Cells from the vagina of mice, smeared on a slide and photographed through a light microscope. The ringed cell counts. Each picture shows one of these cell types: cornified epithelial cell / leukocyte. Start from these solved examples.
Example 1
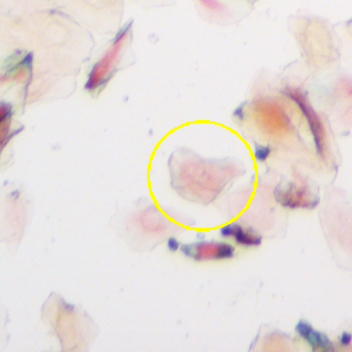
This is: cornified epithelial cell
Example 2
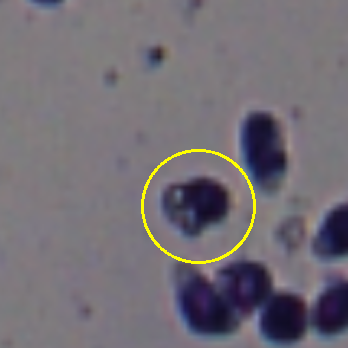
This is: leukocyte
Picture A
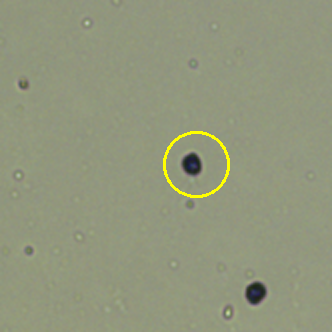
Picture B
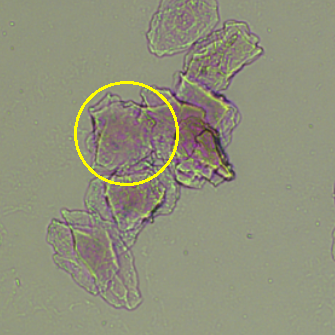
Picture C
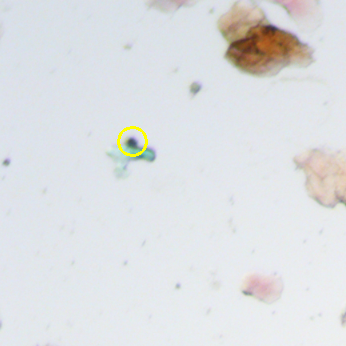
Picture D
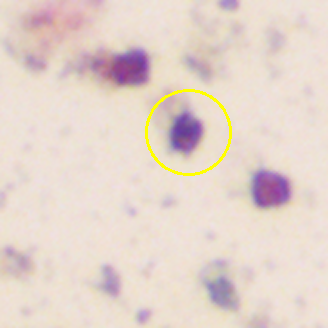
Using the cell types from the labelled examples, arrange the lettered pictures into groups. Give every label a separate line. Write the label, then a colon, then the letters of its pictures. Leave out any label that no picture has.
cornified epithelial cell: B
leukocyte: A, C, D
